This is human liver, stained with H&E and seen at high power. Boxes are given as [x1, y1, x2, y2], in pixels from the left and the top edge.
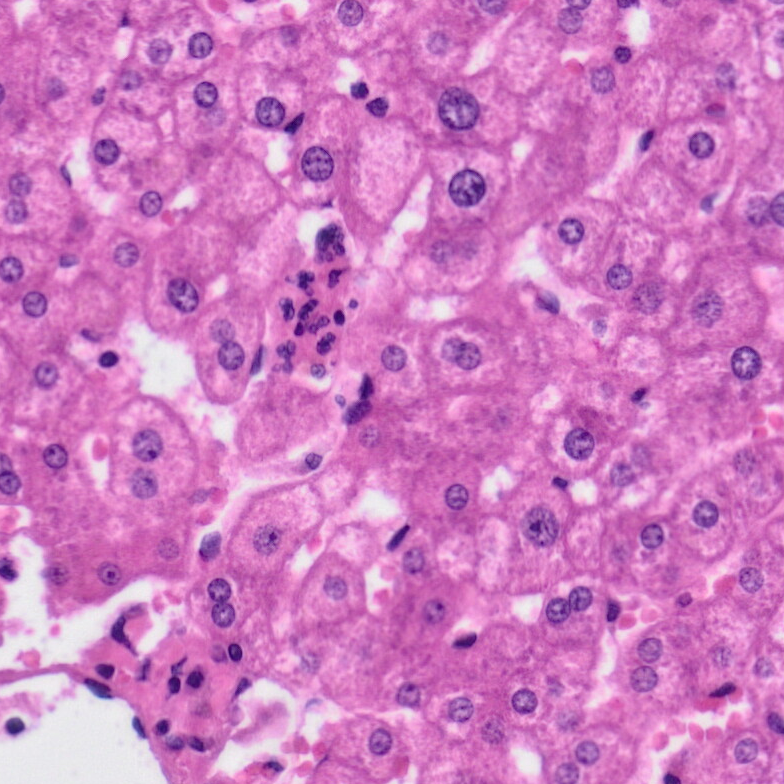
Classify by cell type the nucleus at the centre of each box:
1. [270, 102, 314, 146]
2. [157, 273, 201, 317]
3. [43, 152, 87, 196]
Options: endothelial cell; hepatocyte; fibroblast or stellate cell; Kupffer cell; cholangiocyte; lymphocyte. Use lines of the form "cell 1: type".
cell 1: fibroblast or stellate cell
cell 2: hepatocyte
cell 3: endothelial cell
